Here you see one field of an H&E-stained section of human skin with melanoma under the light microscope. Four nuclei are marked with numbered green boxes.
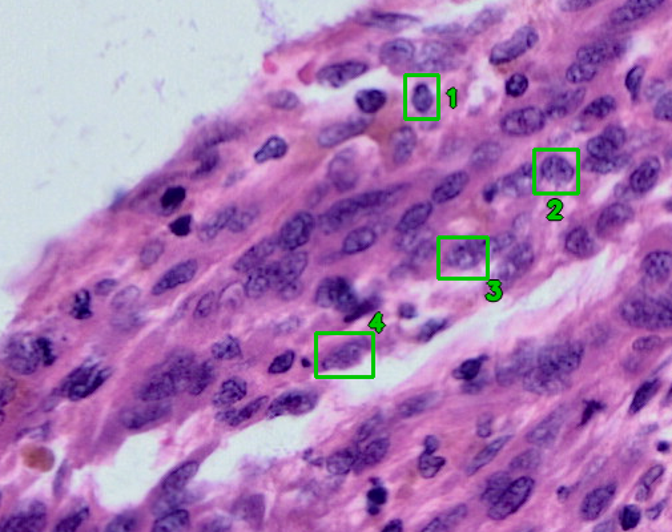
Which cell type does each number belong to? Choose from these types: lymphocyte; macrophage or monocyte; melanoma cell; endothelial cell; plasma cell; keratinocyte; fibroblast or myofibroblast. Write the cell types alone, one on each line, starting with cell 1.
lymphocyte
melanoma cell
melanoma cell
melanoma cell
